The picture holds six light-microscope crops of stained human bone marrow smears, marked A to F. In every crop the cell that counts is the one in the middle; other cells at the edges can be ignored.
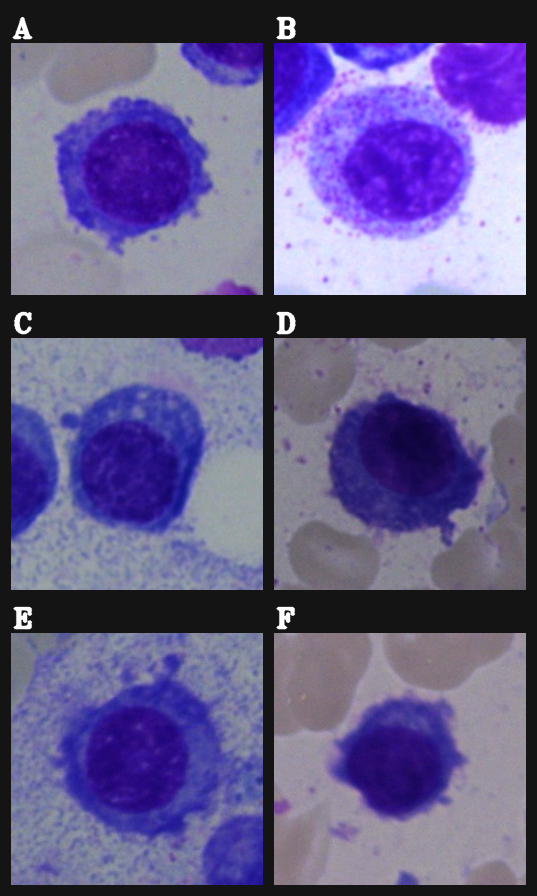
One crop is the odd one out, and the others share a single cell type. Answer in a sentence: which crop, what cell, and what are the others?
In contrast to the other crops, all of which show plasma cells, crop B shows a myelocyte.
